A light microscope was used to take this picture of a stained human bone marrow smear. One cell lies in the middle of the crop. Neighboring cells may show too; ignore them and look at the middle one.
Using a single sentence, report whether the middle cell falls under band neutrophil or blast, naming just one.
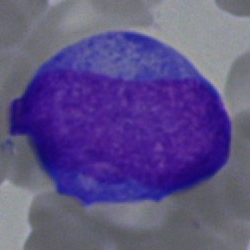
In the middle of this smear crop is a blast.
